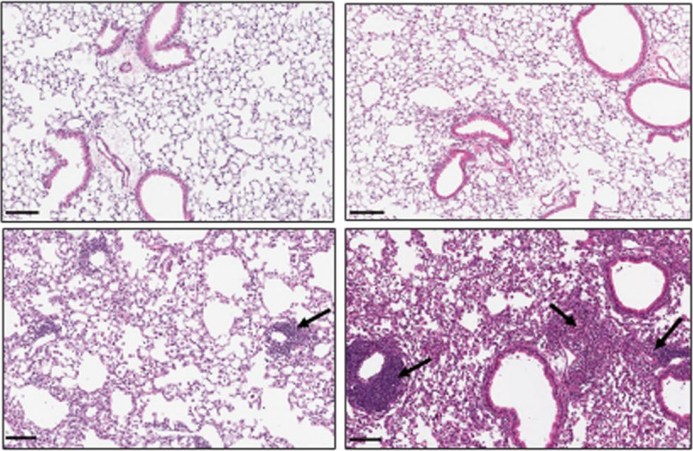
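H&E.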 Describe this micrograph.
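These are sections of lung with thin-walled alveolar spaces, airways lined by a pink epithelium, and blood vessels. In the upper two images the alveolar septa are thin and the tissue around airways and vessels is sparse. In the lower two images dense dark purple clusters of small round cells gather around airways and vessels, and the alveolar walls look thicker and more cellular. In the lower right image one such cluster forms a thick cuff around a vessel.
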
